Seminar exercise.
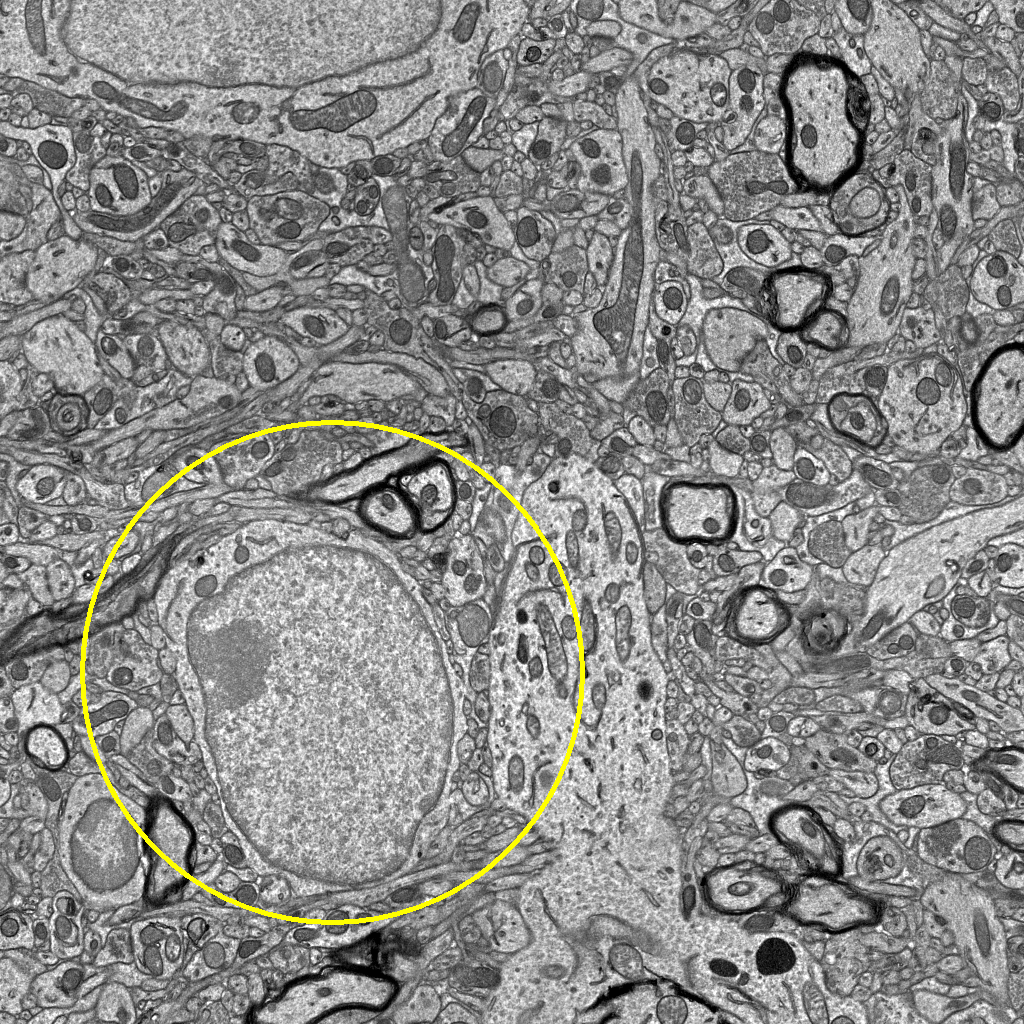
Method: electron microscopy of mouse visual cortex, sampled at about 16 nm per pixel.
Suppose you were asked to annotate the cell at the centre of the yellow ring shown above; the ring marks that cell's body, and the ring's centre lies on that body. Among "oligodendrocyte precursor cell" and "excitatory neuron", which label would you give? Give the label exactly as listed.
oligodendrocyte precursor cell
